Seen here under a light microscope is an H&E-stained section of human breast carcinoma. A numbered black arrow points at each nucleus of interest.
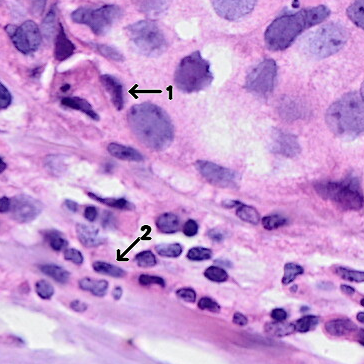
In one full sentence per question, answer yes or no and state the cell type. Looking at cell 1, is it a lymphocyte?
No, number 1 corresponds to a carcinoma cell, not a lymphocyte.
